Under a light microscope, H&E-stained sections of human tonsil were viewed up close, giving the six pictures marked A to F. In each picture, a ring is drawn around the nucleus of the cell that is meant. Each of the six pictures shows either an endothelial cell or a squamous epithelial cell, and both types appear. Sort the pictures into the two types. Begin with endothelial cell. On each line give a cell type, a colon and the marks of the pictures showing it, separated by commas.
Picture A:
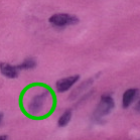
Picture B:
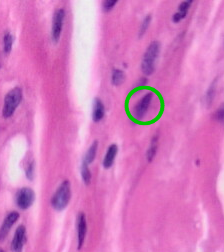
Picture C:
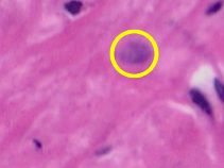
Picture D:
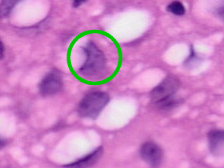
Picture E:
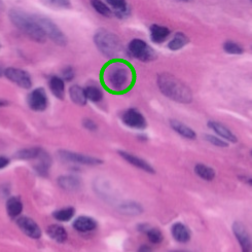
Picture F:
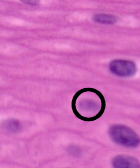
endothelial cell: A, B, C, E
squamous epithelial cell: D, F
